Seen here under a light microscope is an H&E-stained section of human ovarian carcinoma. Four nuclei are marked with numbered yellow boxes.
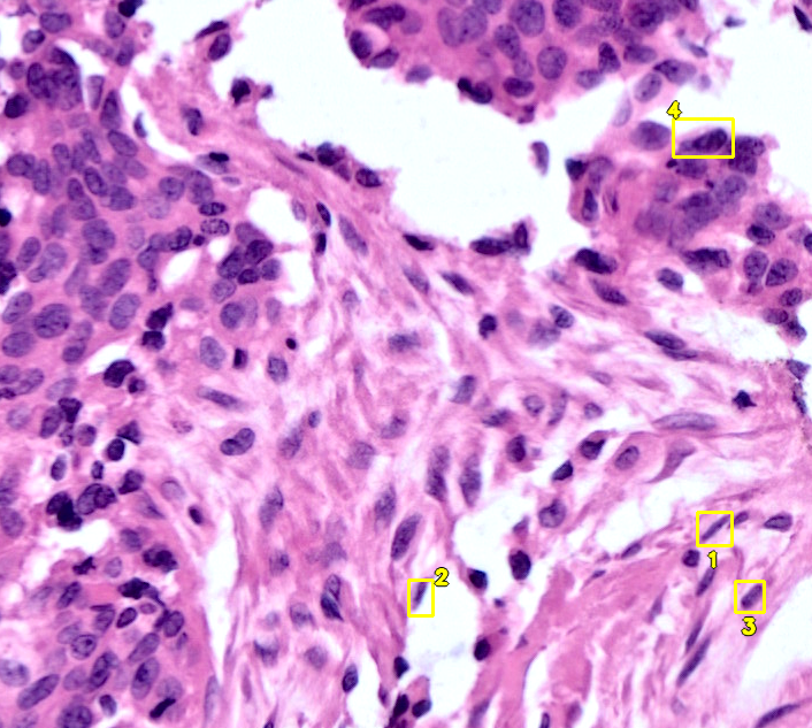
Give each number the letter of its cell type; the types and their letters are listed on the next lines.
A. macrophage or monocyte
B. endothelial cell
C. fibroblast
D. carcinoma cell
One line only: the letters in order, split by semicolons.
C; C; C; D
